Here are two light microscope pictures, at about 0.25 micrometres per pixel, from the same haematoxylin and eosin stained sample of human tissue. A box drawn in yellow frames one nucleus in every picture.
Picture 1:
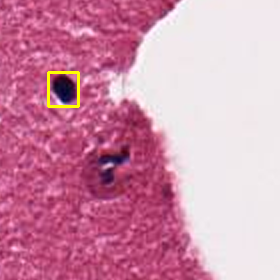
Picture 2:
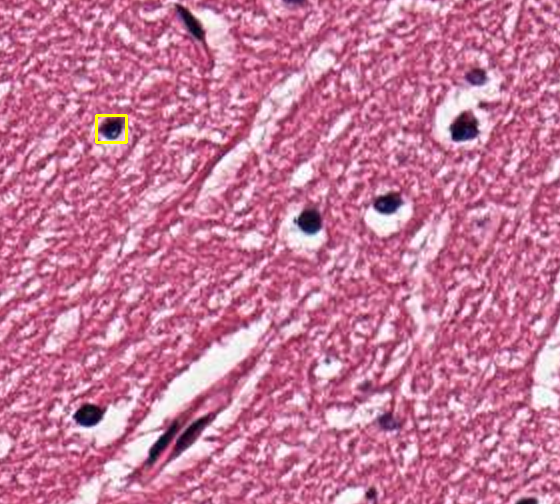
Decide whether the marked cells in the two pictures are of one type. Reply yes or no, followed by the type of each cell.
Yes, both are oligodendrocytes.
